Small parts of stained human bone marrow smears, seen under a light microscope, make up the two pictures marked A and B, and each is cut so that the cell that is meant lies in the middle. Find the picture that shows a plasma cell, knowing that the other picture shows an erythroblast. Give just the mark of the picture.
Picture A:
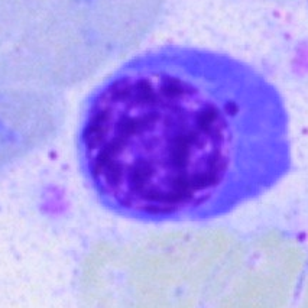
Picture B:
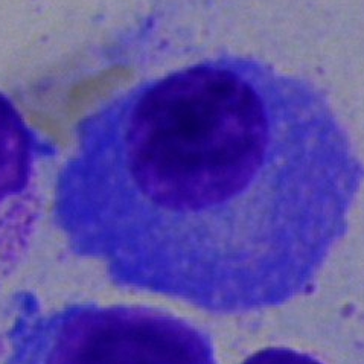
B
